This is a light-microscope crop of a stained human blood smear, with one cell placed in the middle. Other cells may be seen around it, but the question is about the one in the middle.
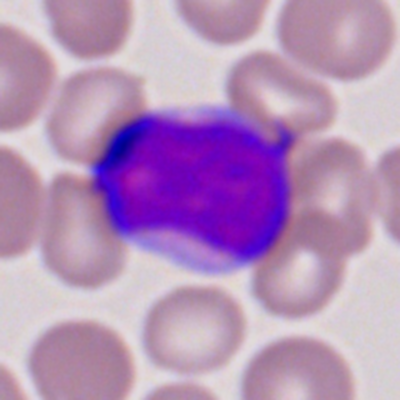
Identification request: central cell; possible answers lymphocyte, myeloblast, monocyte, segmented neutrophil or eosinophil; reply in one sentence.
The crop centres on a single cell, and that cell is a myeloblast.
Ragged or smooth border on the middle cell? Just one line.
The outline of this cell is not smooth but ragged or drawn out into projections.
